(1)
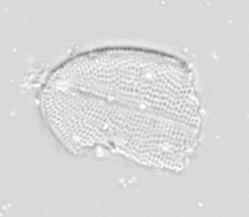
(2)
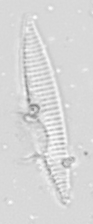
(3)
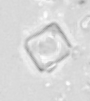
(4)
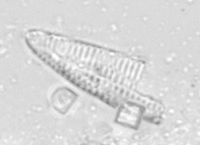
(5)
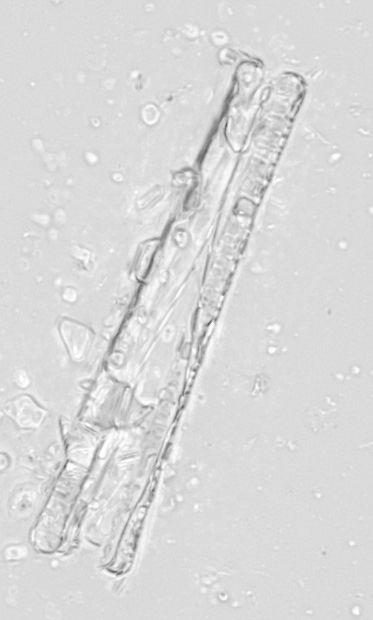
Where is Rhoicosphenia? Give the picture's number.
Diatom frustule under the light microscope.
4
